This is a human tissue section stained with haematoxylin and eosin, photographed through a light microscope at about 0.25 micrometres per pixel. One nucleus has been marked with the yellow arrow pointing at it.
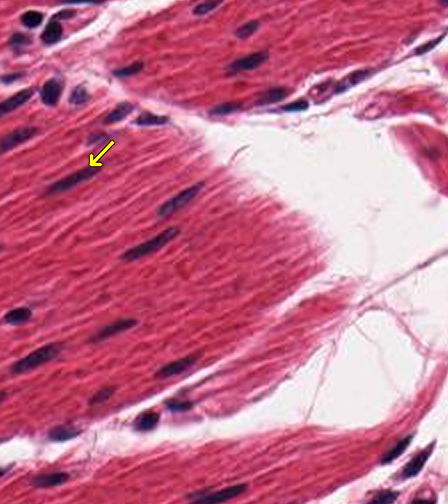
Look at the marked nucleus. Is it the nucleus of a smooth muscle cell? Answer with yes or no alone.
yes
